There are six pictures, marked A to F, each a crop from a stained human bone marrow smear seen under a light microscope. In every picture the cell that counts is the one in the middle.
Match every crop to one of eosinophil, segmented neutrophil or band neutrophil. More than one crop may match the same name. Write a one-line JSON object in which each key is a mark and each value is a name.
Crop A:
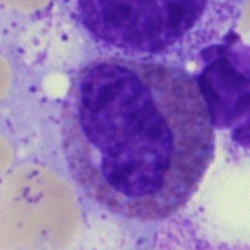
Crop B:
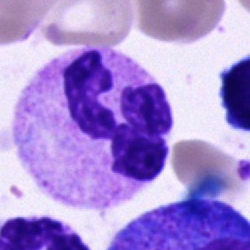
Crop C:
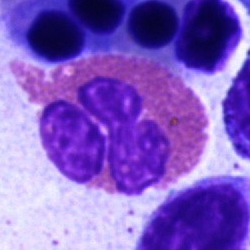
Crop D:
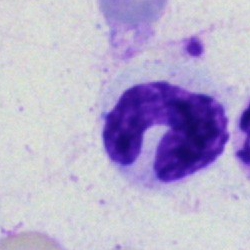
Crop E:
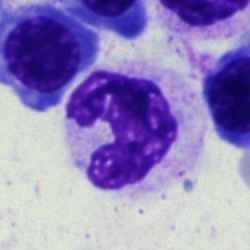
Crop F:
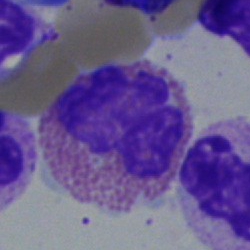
{"A": "eosinophil", "B": "segmented neutrophil", "C": "eosinophil", "D": "band neutrophil", "E": "band neutrophil", "F": "eosinophil"}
